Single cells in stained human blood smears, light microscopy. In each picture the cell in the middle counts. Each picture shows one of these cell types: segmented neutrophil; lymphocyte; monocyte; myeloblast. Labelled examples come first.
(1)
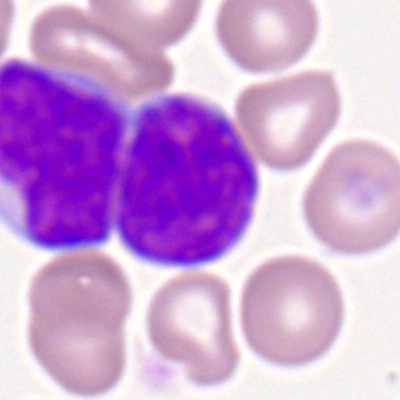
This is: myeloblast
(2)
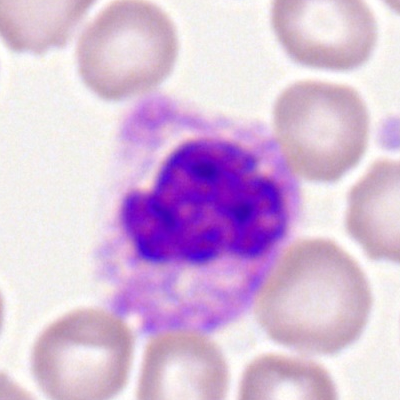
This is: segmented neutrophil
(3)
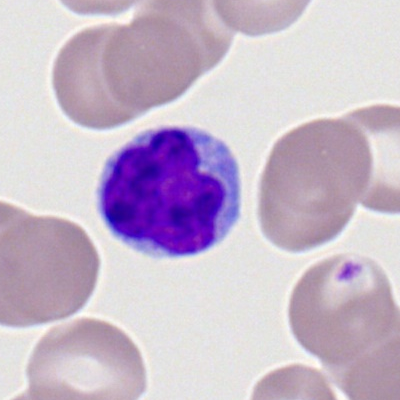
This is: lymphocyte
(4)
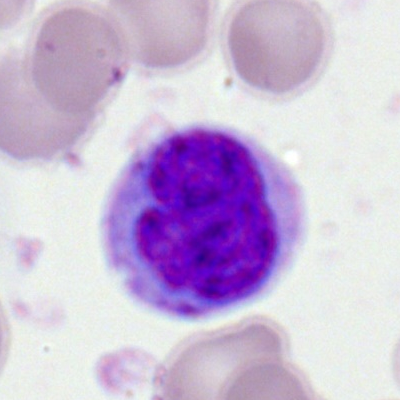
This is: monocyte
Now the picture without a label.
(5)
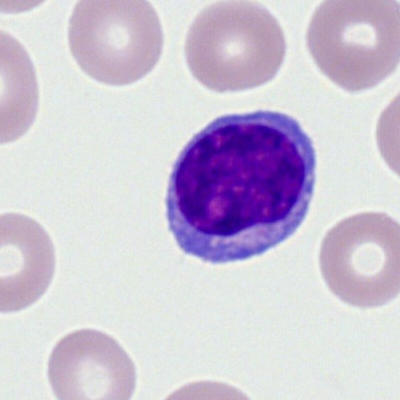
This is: lymphocyte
